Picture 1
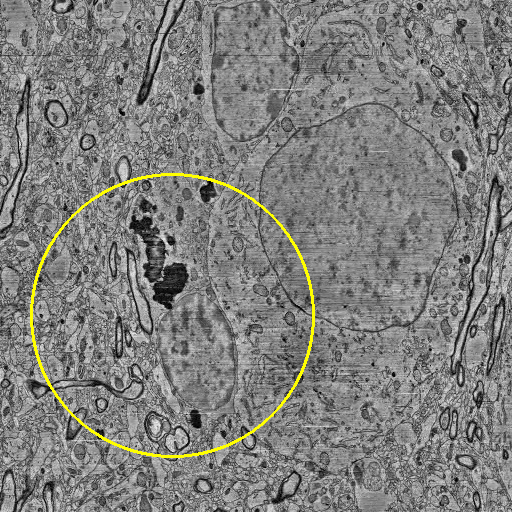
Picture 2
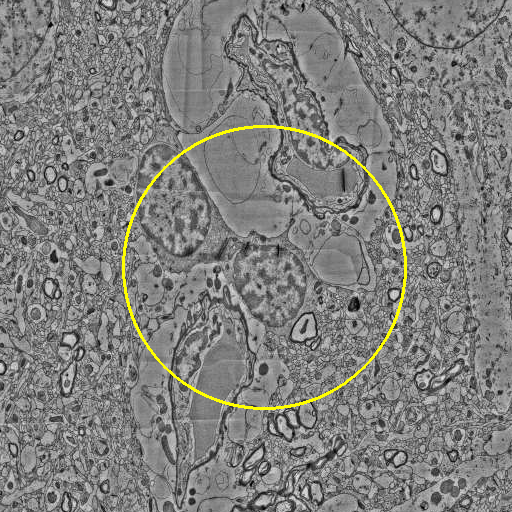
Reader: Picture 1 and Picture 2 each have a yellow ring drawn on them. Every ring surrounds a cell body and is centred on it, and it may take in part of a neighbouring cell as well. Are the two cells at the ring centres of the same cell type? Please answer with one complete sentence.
Yes, both cells are of the same cell type.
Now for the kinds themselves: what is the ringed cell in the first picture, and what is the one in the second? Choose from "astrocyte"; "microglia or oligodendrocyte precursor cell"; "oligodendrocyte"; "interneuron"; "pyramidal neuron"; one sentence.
The cell in the first picture is an oligodendrocyte, and so is the one in the second.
